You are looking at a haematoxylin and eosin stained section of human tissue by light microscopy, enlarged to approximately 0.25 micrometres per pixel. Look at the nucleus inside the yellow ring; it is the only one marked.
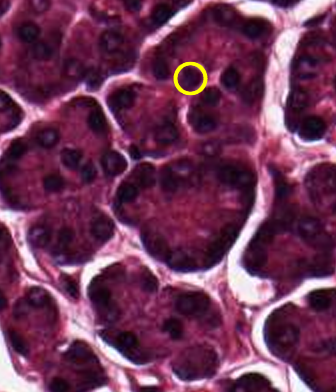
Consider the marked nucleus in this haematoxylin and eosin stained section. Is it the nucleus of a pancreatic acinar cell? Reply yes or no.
yes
